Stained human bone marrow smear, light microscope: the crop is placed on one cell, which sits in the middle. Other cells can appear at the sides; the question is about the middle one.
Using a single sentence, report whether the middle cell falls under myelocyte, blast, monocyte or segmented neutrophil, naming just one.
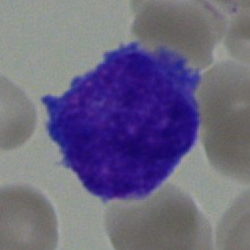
Regarding the central cell, it is a blast.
